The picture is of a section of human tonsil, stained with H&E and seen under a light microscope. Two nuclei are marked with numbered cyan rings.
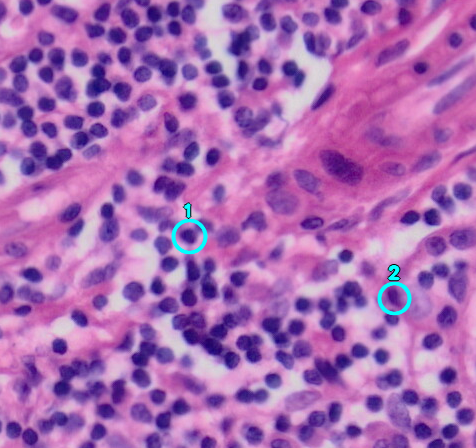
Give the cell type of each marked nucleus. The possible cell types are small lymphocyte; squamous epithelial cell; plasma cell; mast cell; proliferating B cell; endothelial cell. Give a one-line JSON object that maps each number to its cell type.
{"1": "small lymphocyte", "2": "endothelial cell"}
